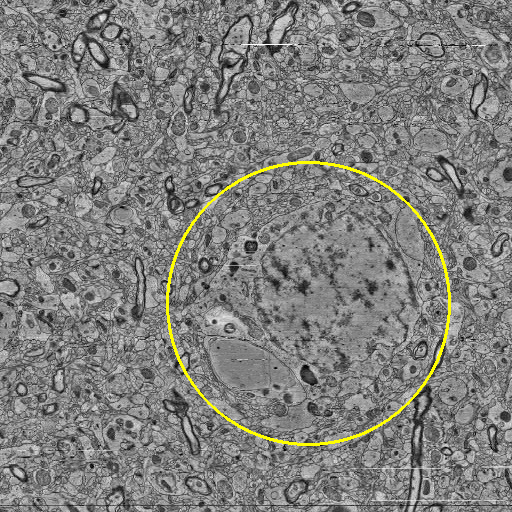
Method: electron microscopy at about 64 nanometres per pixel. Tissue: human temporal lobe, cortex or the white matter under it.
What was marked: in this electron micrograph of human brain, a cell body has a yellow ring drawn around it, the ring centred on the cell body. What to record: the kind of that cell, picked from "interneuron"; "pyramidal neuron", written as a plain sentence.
The centred cell is an interneuron.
